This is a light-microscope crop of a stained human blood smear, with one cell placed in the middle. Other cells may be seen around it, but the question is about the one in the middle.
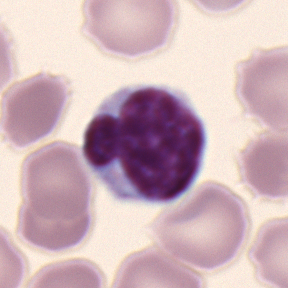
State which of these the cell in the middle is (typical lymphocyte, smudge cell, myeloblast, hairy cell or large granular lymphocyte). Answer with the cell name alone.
typical lymphocyte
